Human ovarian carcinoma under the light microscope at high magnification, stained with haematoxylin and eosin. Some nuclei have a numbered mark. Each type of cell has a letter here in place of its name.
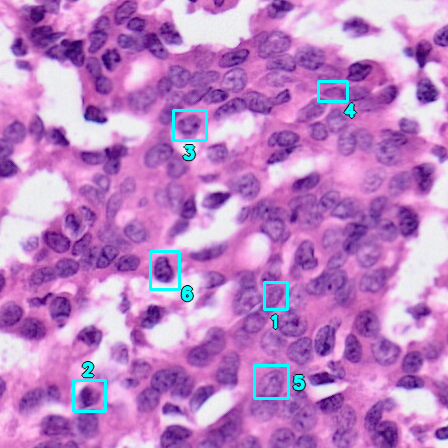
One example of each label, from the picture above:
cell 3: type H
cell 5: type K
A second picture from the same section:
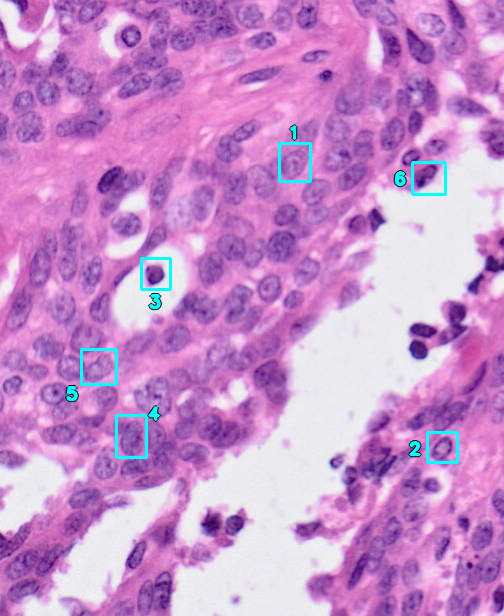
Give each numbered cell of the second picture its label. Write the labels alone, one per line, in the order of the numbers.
type K
type H
type K
type K
type K
type H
